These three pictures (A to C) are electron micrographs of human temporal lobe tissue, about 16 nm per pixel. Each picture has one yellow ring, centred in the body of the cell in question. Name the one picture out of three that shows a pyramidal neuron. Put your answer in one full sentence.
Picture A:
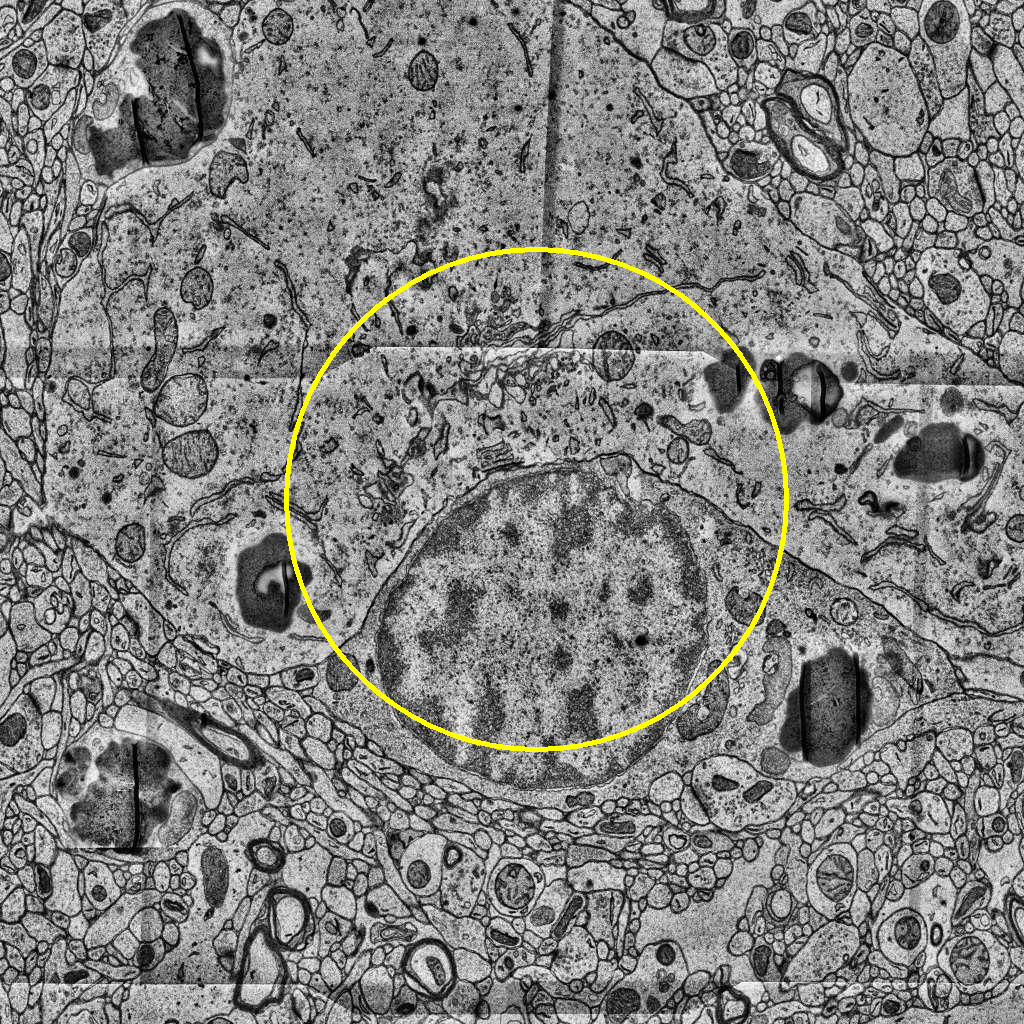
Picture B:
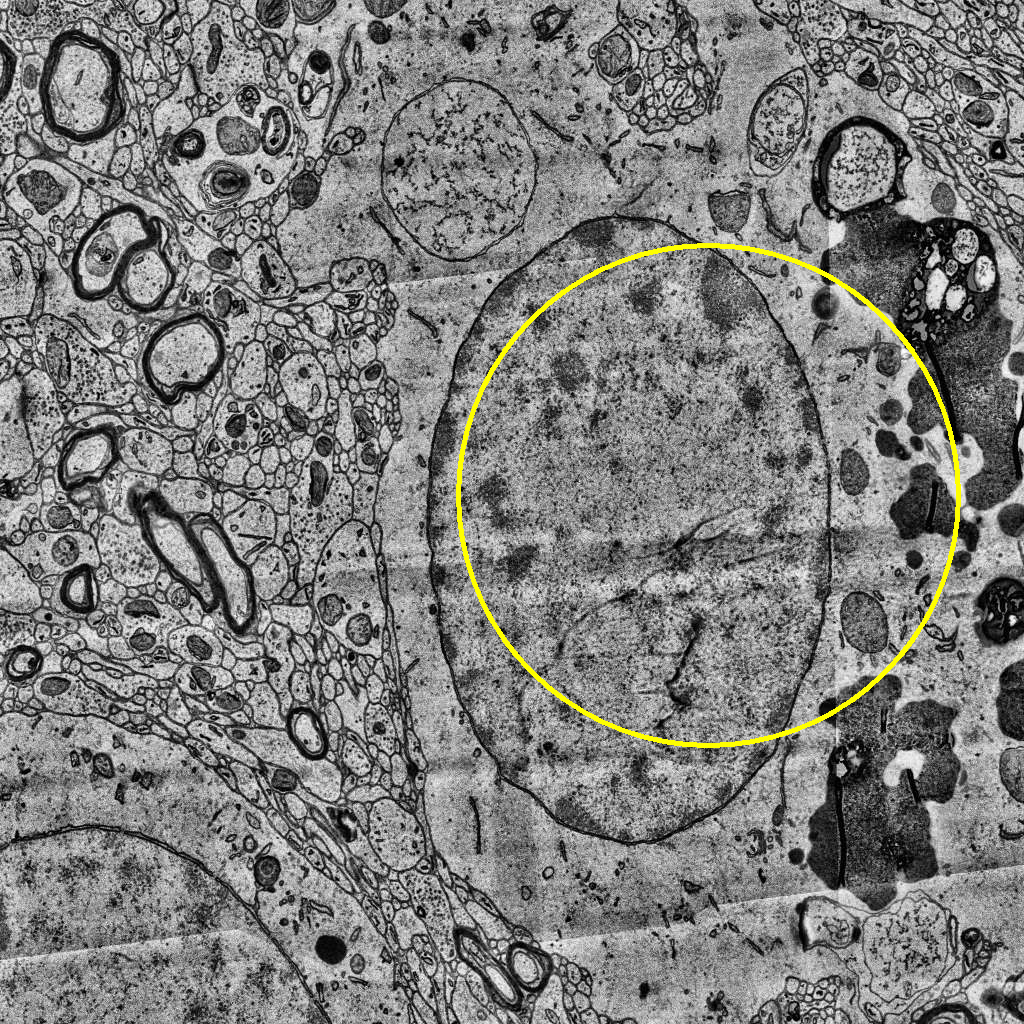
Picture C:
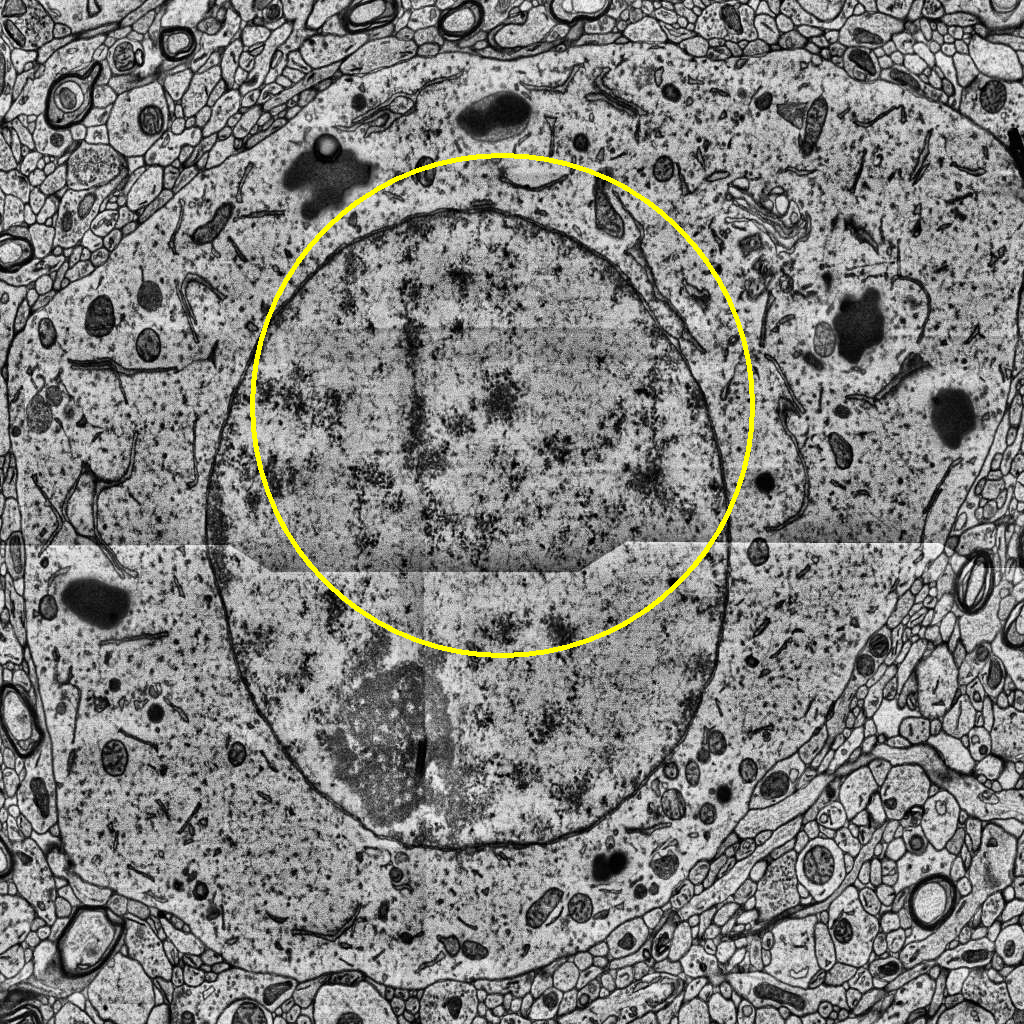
The cell in picture C is the pyramidal neuron.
